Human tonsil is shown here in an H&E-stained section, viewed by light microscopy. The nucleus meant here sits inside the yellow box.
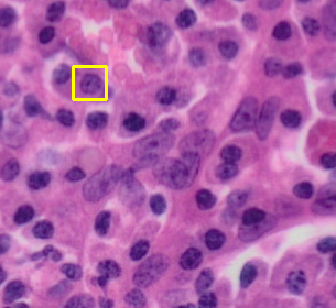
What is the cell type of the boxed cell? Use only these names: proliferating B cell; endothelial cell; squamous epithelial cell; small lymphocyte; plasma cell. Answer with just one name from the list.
plasma cell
